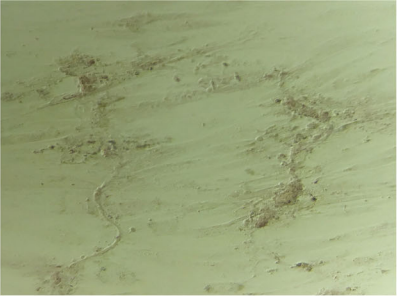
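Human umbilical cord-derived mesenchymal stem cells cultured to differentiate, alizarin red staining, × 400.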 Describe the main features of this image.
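The deposits are granular and gather in irregular clusters and streaks across the field. Beneath them a pale layer shows faint outlines of elongated cells. Large parts of the field between the clusters remain unstained.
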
